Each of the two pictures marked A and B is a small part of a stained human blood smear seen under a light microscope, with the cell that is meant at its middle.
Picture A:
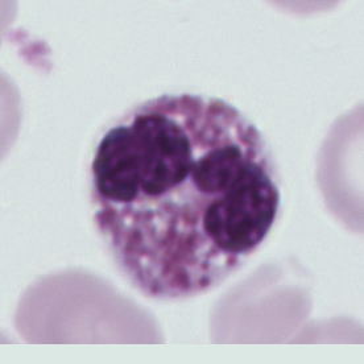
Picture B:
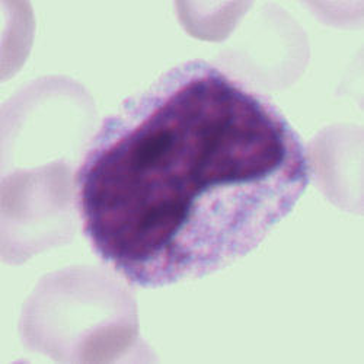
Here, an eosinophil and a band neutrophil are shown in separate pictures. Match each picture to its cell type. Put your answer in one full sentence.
Picture A is of an eosinophil, and picture B is of a band neutrophil.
